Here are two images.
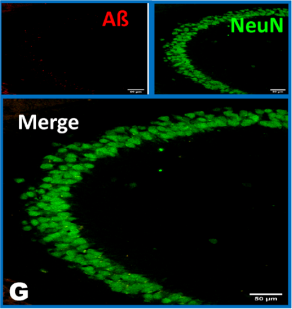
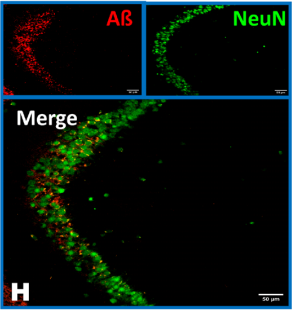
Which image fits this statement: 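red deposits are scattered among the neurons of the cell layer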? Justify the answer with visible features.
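Second image: many red and yellow puncta lie within and along the green cell band. First image: the green cell band shows almost no red puncta.
The second image.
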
